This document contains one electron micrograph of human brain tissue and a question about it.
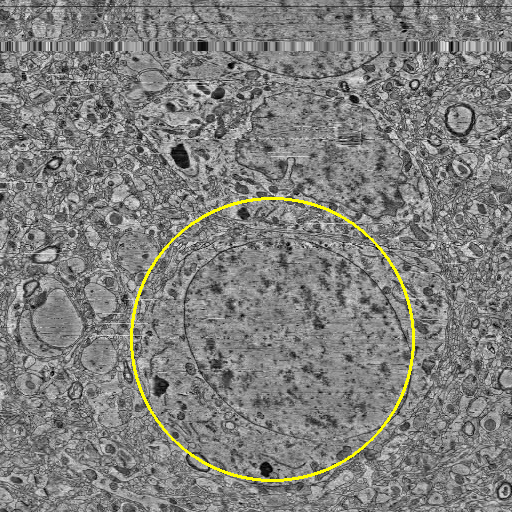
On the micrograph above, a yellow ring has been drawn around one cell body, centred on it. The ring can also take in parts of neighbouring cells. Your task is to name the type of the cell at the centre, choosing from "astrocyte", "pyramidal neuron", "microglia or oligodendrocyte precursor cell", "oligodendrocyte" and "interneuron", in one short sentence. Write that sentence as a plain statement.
Here the ring is centred on a pyramidal neuron.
